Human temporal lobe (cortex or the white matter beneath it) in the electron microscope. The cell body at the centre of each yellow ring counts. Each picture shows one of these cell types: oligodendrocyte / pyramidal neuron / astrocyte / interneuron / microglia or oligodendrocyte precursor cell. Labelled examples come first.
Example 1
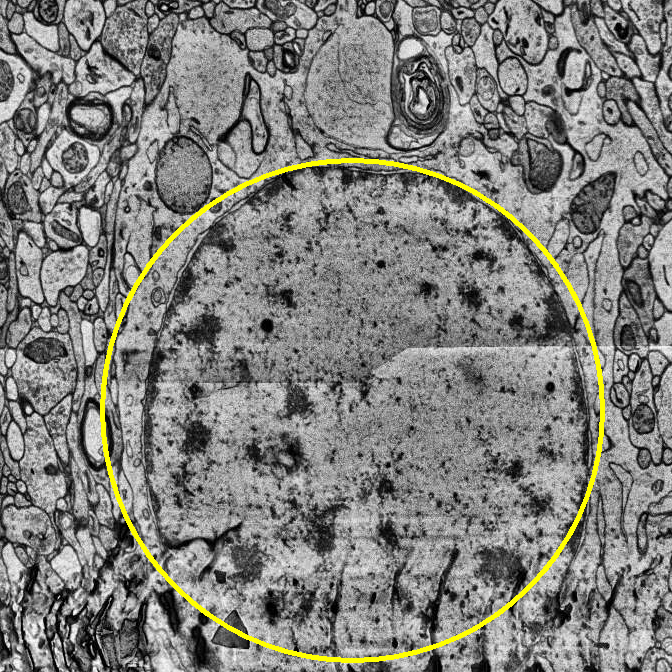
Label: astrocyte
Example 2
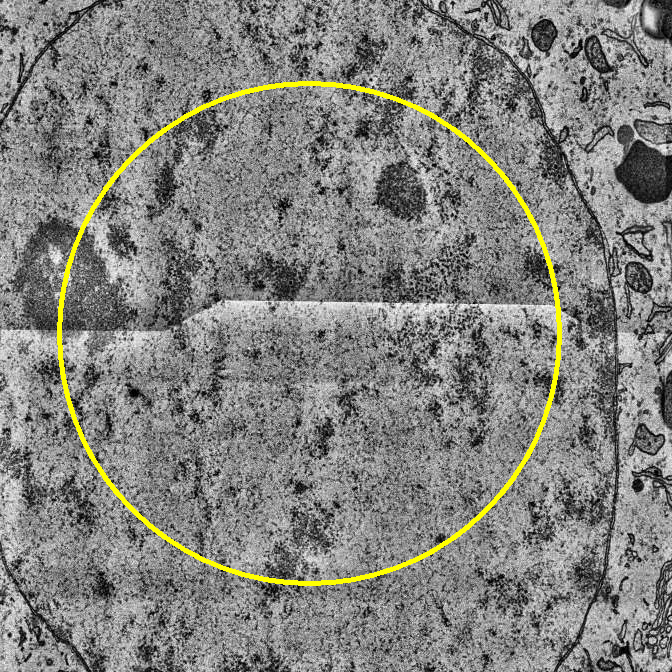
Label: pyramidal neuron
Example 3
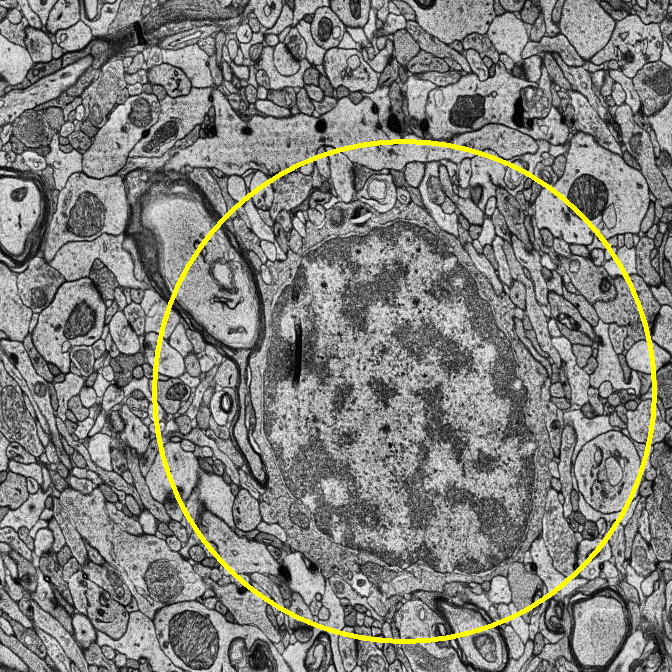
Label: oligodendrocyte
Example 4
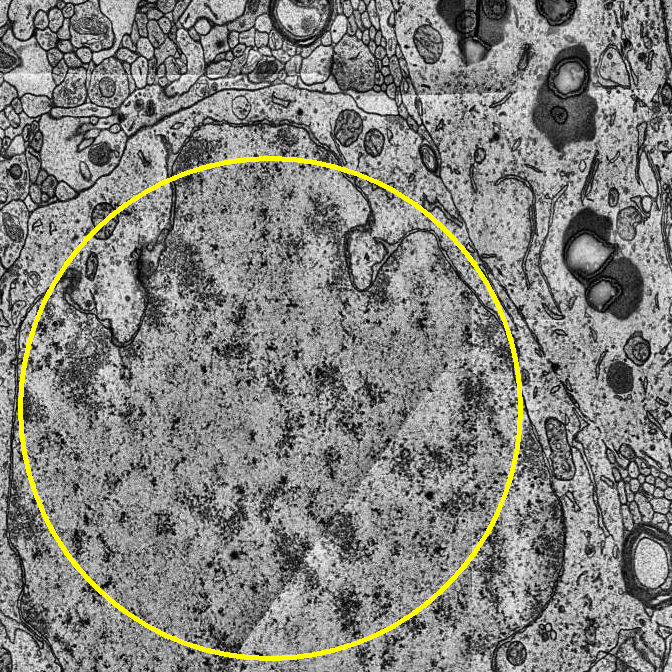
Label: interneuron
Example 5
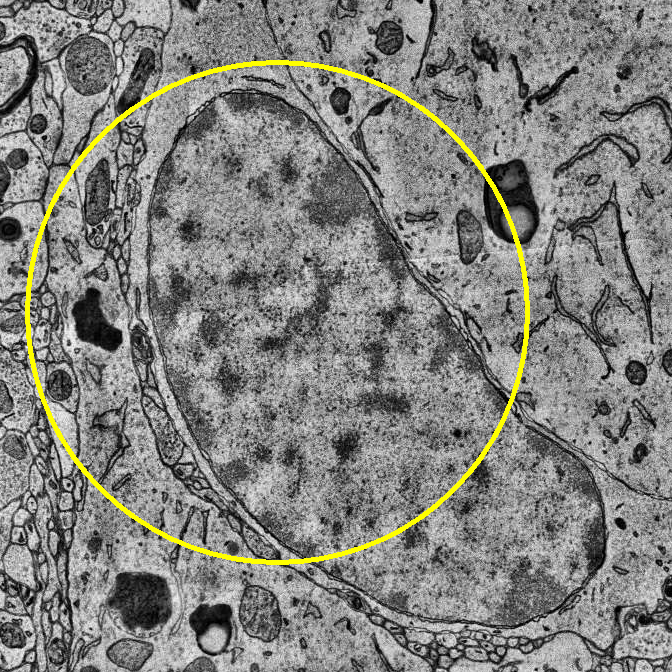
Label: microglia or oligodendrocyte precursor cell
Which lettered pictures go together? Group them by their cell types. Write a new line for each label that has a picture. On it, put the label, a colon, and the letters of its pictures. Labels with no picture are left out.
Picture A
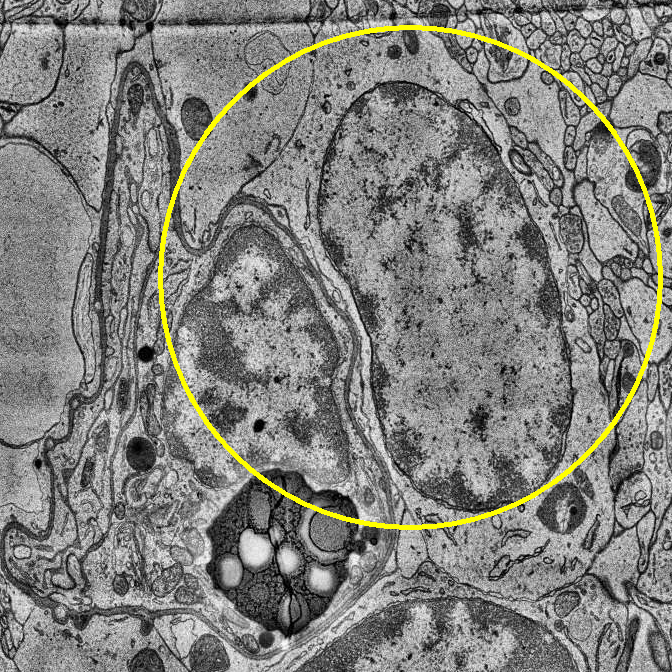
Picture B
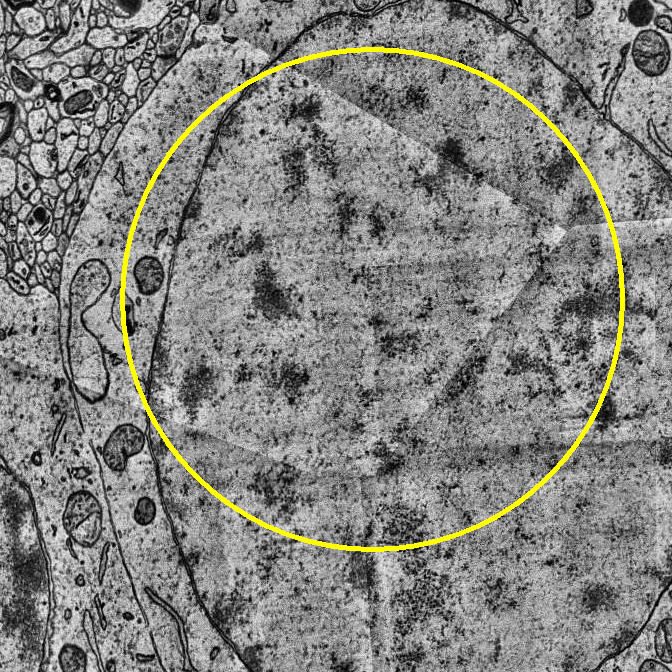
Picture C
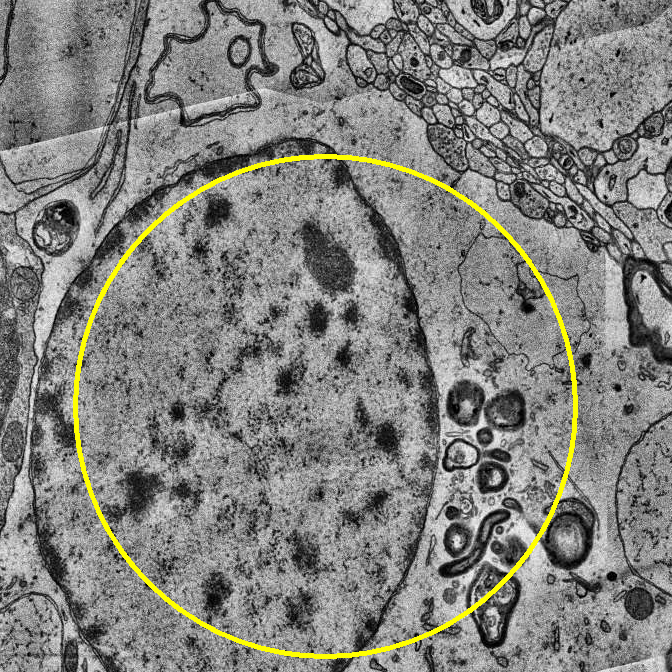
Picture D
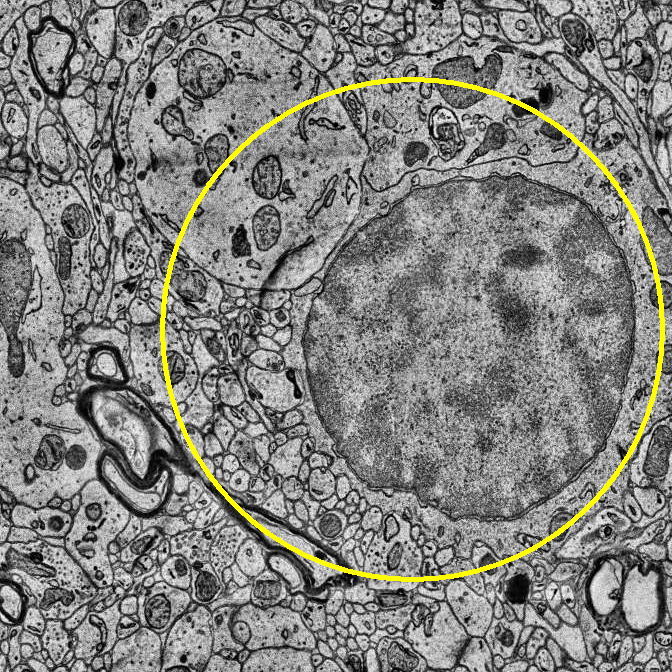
oligodendrocyte: D
pyramidal neuron: B
astrocyte: C
microglia or oligodendrocyte precursor cell: A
